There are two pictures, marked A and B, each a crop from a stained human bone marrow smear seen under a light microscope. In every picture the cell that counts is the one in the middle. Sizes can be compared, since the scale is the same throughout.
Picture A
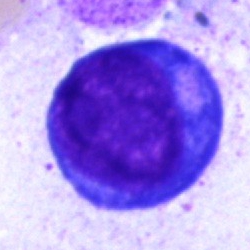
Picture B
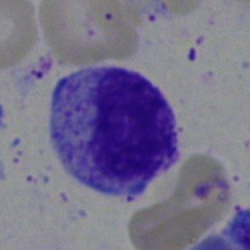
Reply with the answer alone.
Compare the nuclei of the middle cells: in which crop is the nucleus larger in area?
A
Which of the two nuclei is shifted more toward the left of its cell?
A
